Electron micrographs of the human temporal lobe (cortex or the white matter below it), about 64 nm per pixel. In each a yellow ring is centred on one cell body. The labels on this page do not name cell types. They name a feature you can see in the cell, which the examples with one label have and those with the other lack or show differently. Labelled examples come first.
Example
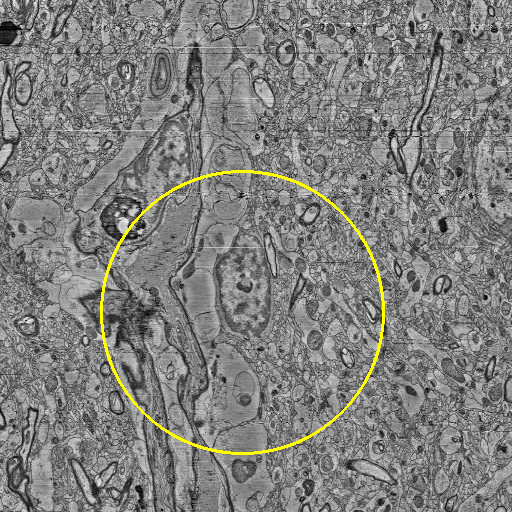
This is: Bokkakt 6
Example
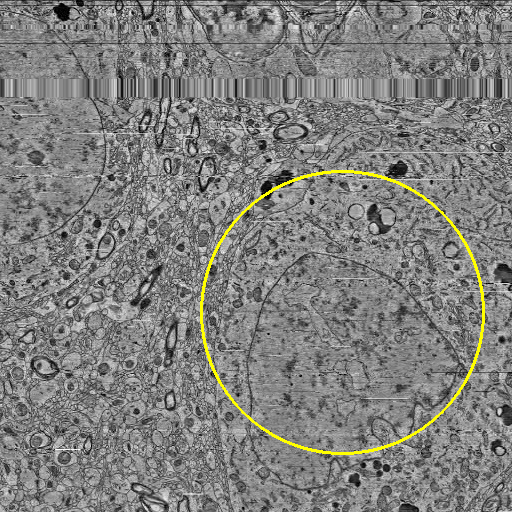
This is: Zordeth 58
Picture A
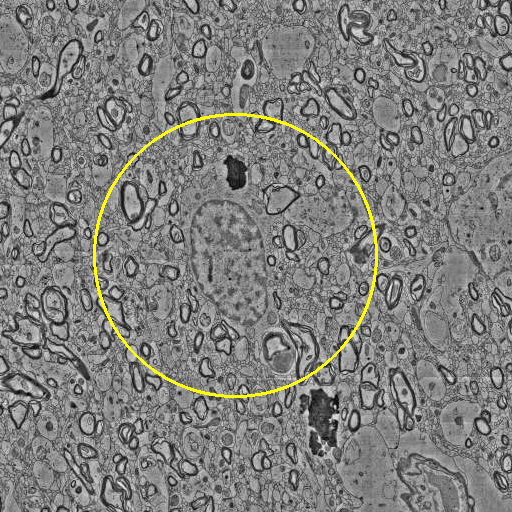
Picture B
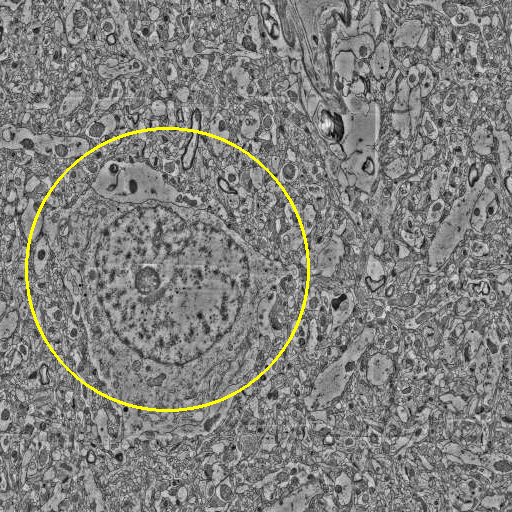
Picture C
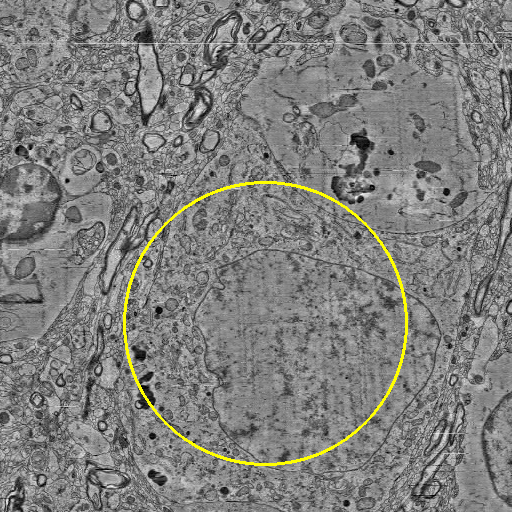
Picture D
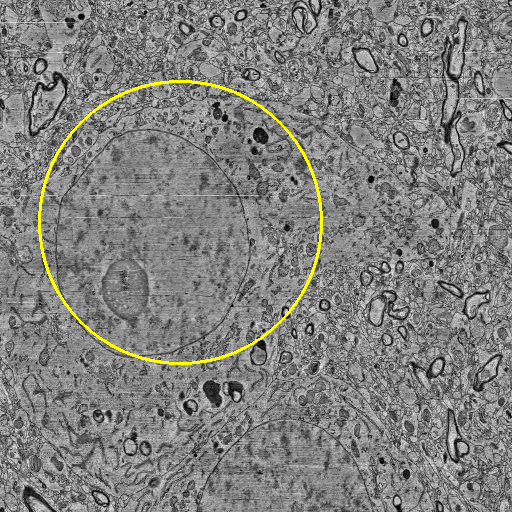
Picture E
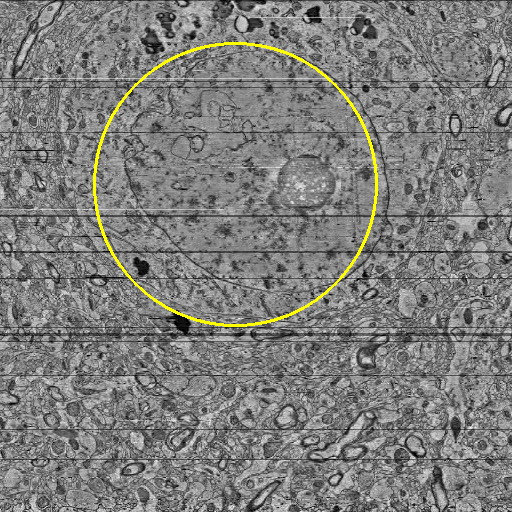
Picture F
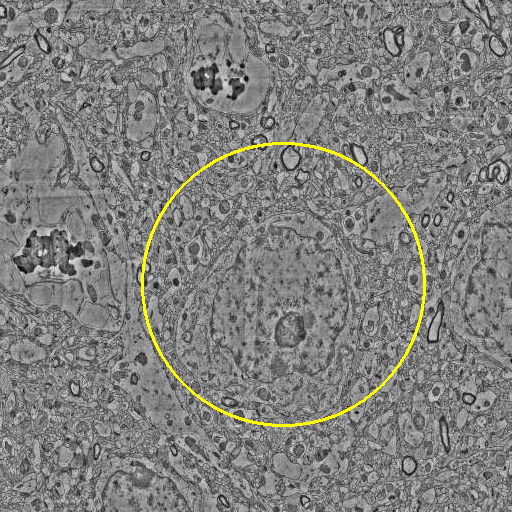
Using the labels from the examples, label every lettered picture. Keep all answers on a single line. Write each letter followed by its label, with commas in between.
A Zordeth 58, B Bokkakt 6, C Zordeth 58, D Bokkakt 6, E Bokkakt 6, F Bokkakt 6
